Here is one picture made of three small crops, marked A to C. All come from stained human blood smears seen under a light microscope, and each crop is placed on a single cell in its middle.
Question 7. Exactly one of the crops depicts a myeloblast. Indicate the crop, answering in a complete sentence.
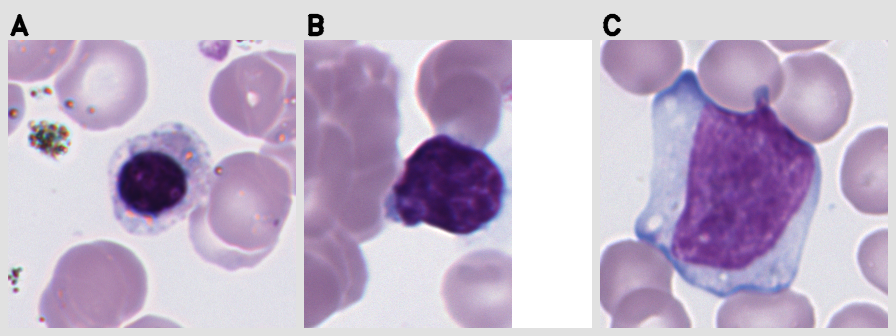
Among the crops given, only crop C shows a myeloblast.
